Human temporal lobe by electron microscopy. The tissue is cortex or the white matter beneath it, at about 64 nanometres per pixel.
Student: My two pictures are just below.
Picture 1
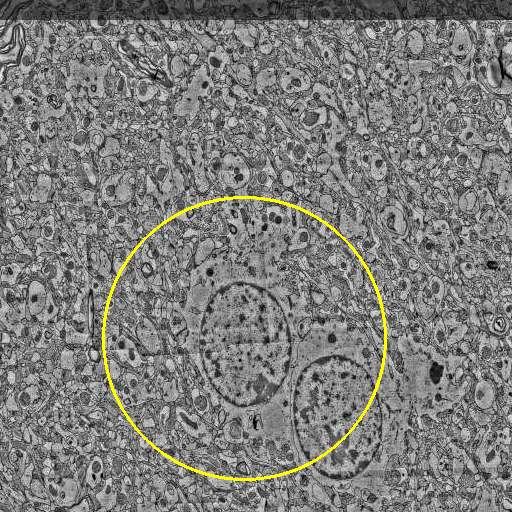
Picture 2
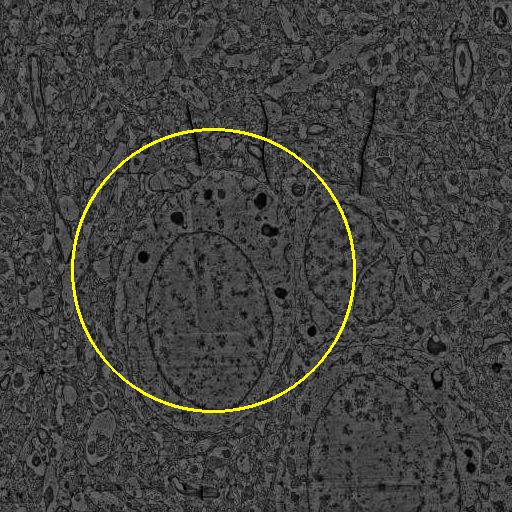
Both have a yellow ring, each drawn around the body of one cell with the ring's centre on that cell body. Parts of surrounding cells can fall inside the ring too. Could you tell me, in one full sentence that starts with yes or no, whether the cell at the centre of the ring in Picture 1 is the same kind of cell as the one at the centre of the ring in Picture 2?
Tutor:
No, the two cells are of two kinds.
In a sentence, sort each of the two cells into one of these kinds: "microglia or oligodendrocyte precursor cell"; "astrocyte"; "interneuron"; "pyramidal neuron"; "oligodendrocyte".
The first of the two cells is an astrocyte, and the second is a pyramidal neuron.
